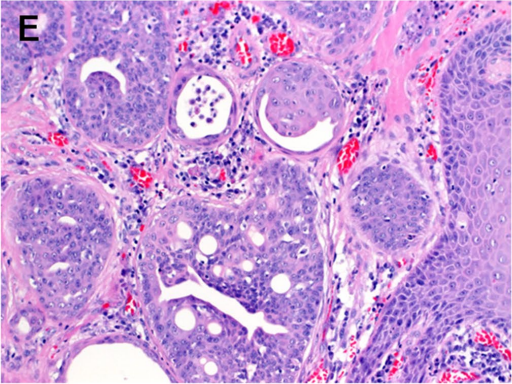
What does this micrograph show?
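Rounded nests of tumour cells separated by stroma containing congested vessels and scattered inflammatory cells. The nests hold small round lumina and elongated slit-like spaces, giving a sieve-like ductal pattern, some lumina edged by a pink border.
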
